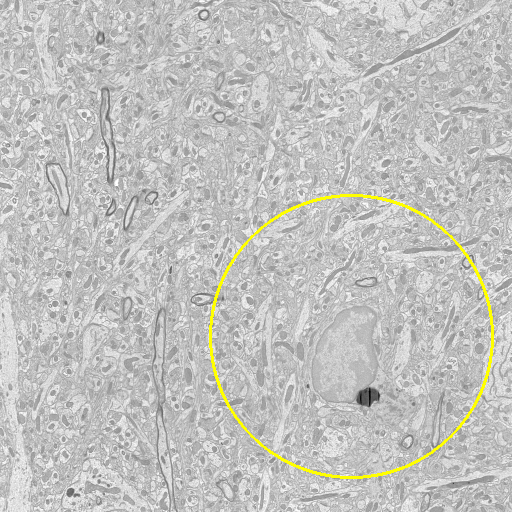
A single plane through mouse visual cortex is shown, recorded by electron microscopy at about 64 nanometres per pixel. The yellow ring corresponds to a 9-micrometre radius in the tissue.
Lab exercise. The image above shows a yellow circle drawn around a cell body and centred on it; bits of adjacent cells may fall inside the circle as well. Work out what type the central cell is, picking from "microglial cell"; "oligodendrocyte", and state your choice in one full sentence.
In the image above, the cell at the centre of the yellow circle is a microglial cell.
